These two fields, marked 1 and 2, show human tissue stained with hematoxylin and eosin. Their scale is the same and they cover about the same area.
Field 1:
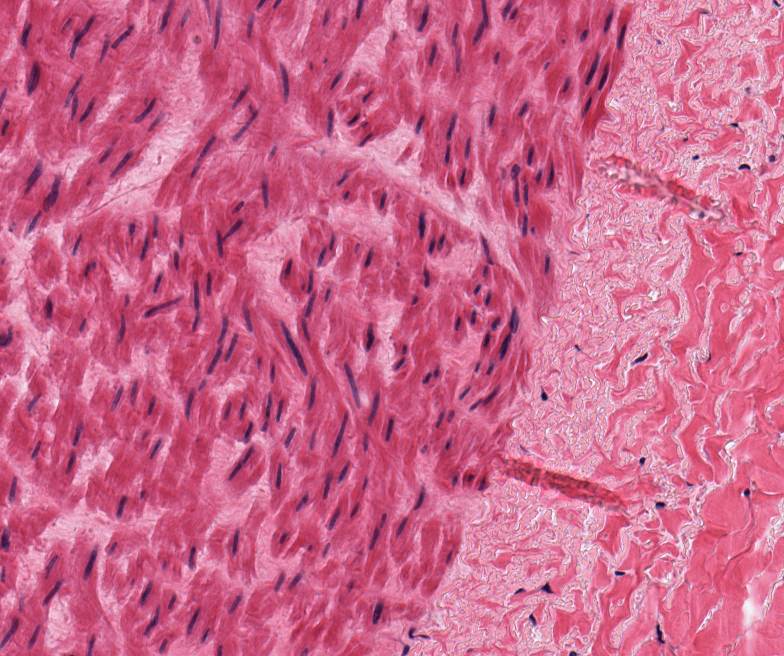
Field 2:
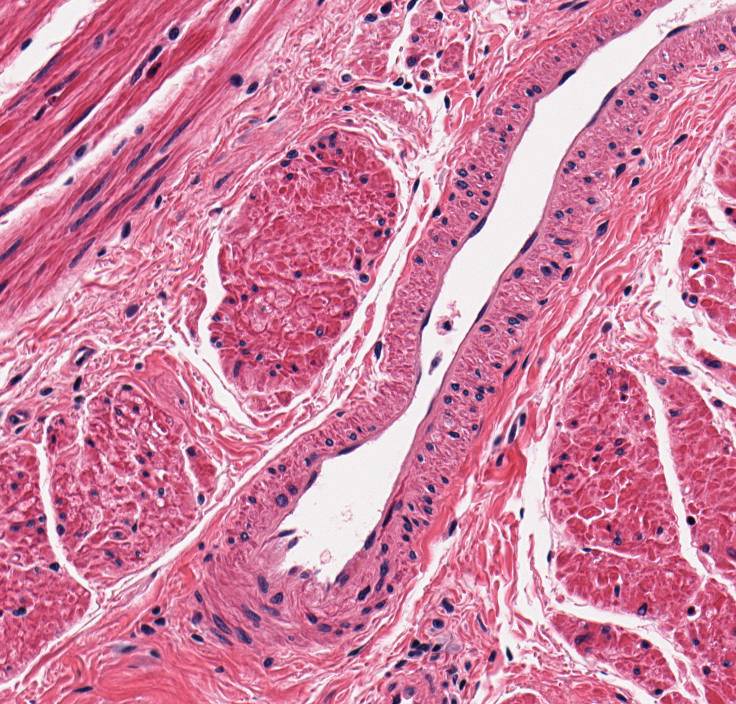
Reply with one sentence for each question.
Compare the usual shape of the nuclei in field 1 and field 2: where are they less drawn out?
It is field 2 whose nuclei are the rounder.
